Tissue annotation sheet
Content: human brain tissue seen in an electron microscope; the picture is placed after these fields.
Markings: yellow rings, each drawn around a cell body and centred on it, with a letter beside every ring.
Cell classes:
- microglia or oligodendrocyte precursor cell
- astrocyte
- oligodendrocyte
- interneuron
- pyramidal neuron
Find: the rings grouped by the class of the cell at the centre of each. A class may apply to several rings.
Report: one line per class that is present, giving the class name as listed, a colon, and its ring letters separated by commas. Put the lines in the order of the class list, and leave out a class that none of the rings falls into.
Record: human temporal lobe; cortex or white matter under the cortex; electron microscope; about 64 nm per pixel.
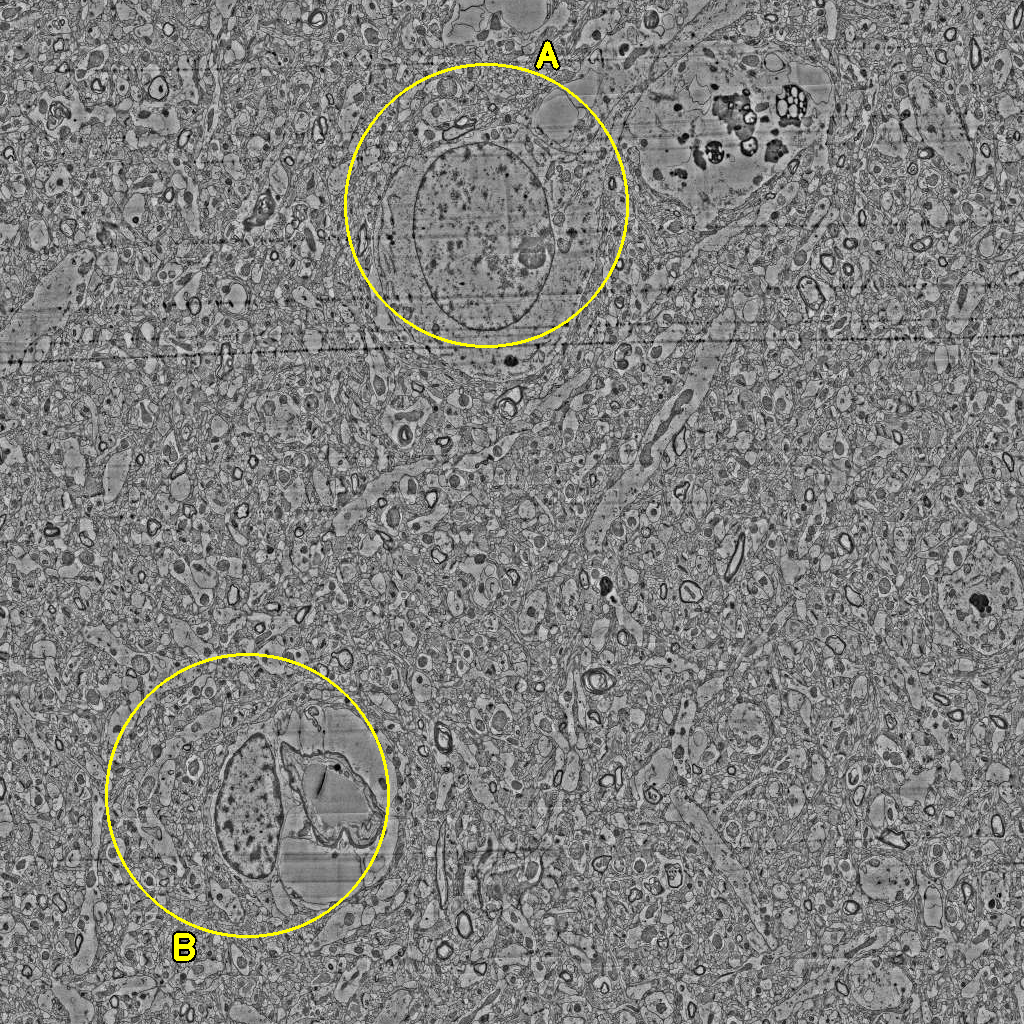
microglia or oligodendrocyte precursor cell: B
pyramidal neuron: A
